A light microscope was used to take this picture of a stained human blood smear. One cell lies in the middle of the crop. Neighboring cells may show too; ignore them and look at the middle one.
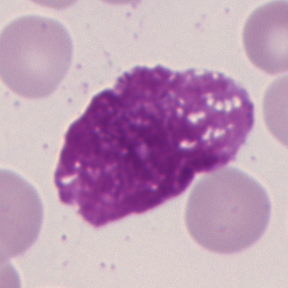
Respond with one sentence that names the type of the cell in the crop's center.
The cell of interest, located centrally, is a smudge cell.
